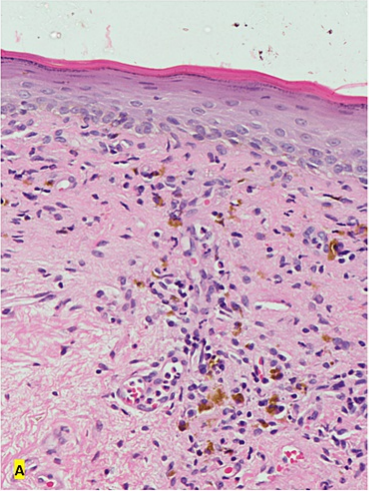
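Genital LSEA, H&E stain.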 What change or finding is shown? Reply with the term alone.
Pigment incontinence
